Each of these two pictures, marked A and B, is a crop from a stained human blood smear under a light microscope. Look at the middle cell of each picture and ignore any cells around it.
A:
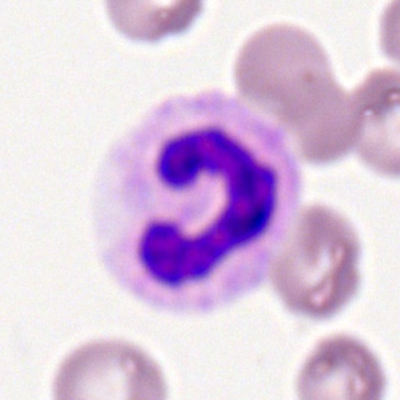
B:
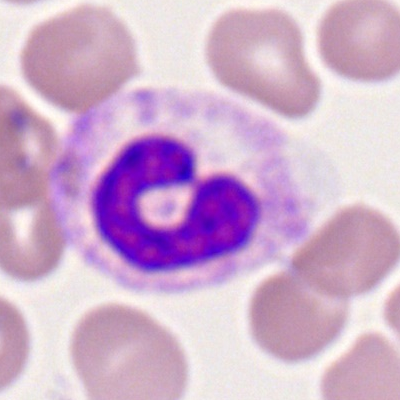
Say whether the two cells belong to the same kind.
yes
